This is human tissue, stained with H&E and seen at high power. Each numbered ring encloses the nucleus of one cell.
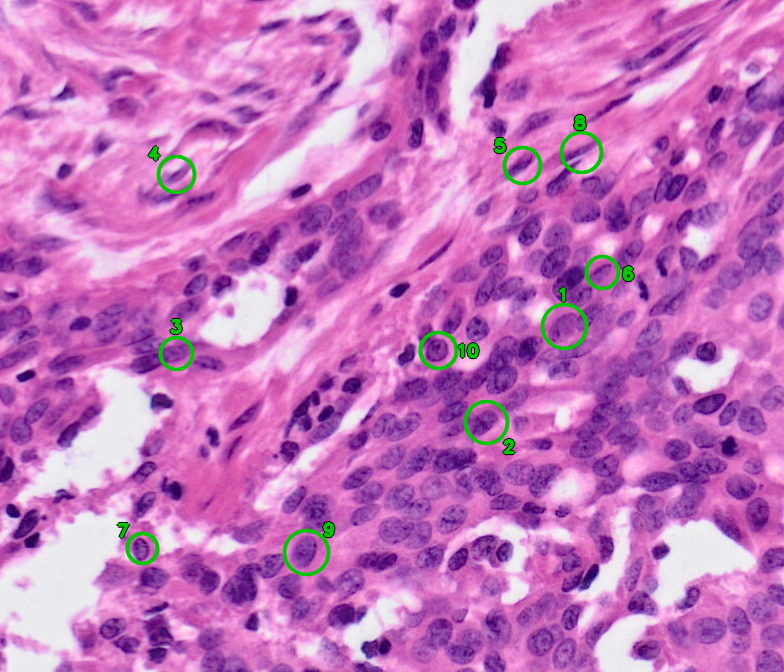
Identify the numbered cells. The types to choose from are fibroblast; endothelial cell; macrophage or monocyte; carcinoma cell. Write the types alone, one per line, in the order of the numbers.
carcinoma cell
carcinoma cell
carcinoma cell
fibroblast
fibroblast
carcinoma cell
macrophage or monocyte
fibroblast
carcinoma cell
macrophage or monocyte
